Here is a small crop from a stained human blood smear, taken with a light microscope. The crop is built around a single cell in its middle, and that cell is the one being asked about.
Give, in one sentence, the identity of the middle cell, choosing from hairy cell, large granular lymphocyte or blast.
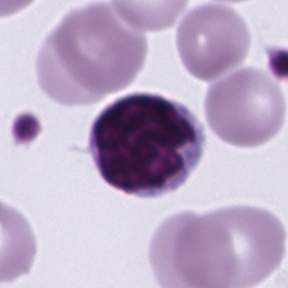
The cell at the centre of the field is a large granular lymphocyte.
